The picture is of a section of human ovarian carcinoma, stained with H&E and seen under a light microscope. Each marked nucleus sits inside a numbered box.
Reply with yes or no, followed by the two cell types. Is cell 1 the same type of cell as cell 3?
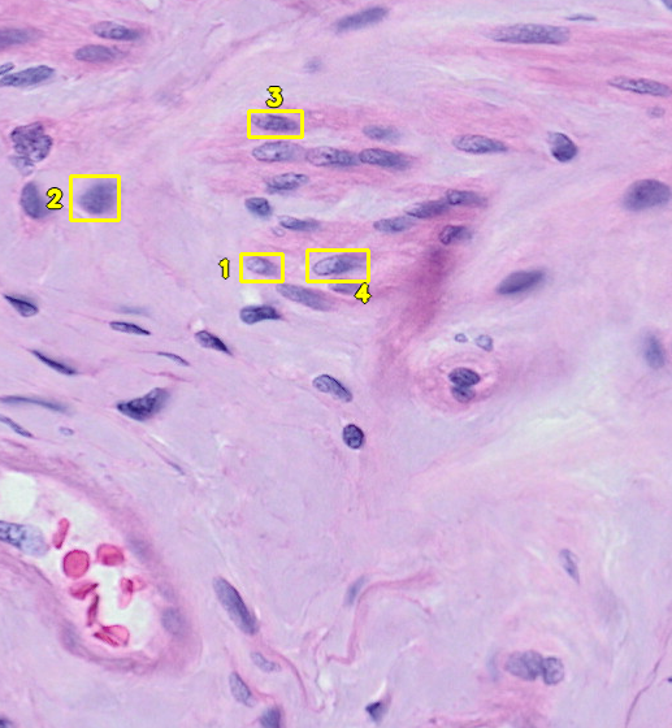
Yes, in this section cells 1 and 3 are both smooth muscle cells.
